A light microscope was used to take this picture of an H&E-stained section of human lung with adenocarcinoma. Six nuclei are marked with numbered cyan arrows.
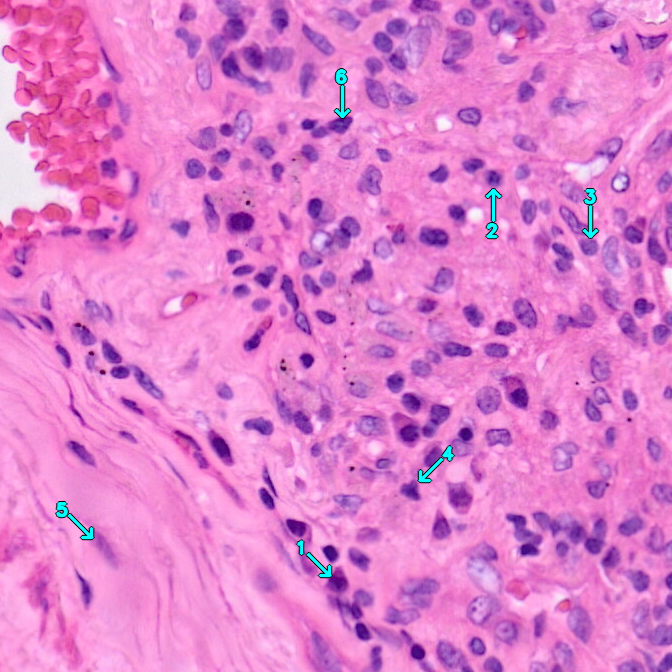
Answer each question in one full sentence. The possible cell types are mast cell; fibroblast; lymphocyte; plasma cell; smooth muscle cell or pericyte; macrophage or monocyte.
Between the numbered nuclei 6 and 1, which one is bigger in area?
It is nucleus 1, which covers about 1.5 times the area of nucleus 6.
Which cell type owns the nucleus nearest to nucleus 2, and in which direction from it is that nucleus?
Lying above and to the left of nucleus 2, the nearest nucleus is that of a lymphocyte.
